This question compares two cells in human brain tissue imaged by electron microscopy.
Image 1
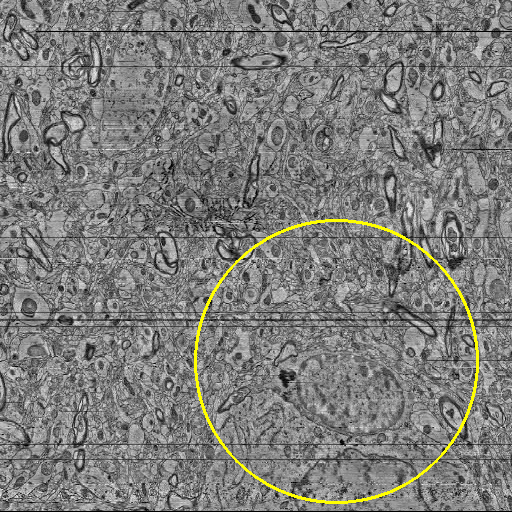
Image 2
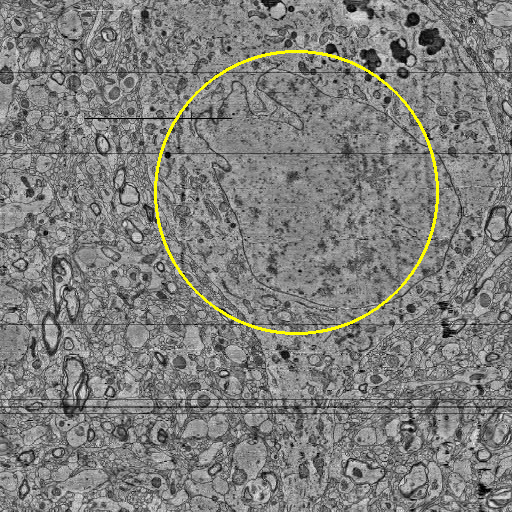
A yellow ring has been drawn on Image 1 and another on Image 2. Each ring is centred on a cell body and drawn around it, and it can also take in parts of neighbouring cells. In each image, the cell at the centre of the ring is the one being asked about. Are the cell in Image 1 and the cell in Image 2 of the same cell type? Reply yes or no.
no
